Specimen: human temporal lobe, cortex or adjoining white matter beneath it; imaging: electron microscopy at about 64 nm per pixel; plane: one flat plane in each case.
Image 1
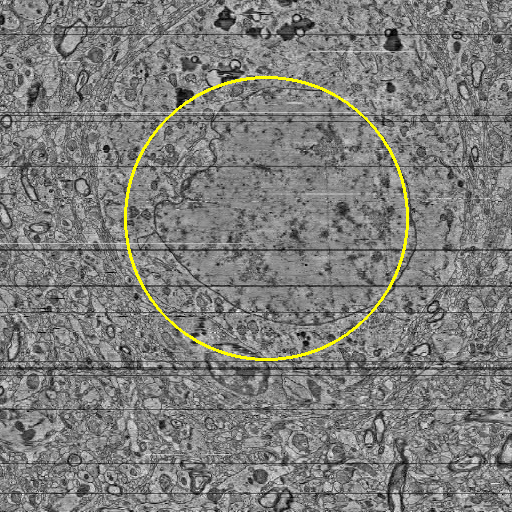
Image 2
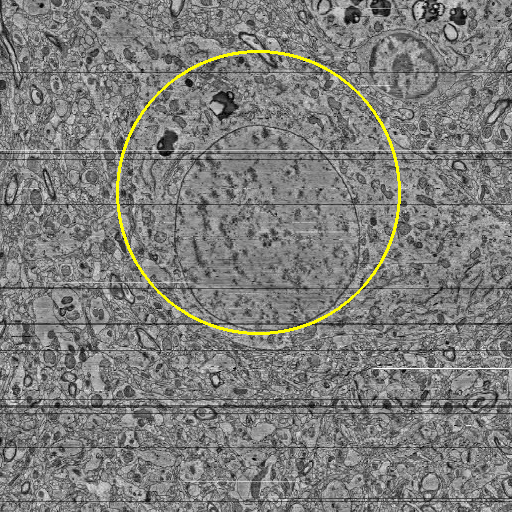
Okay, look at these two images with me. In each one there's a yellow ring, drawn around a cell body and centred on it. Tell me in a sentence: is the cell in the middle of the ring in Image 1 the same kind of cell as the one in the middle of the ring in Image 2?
Yes, they're the same kind of cell.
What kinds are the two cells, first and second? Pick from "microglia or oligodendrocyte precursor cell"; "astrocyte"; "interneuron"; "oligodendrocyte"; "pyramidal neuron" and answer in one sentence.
Each of the two cells is a pyramidal neuron.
